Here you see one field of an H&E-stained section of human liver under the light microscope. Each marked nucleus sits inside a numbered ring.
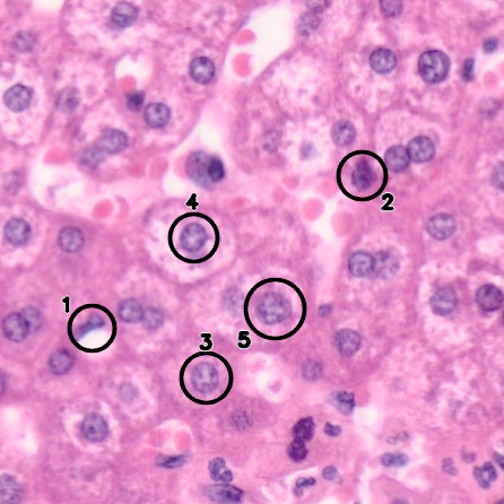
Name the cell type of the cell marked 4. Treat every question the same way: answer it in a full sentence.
Looking at the numbered marks, cell 4 is a hepatocyte.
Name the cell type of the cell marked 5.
The cell referred to as 5 is a hepatocyte.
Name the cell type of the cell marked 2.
Cell number 2 in this section is a fibroblast or stellate cell.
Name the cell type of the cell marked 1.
The one labeled 1 is an endothelial cell, to put it simply.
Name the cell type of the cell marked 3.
Looking at the numbered marks, cell 3 is a hepatocyte.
